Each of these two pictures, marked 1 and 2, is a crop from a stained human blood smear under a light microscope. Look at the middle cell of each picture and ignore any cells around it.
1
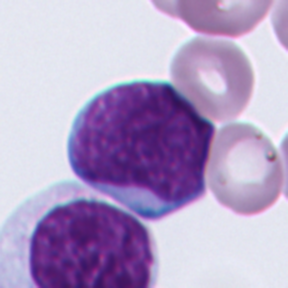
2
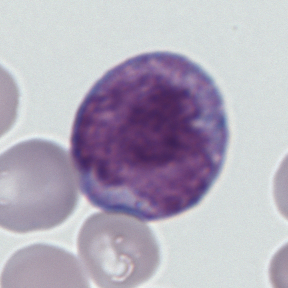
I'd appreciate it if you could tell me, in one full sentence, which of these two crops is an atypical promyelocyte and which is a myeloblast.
Found in crop 1 is a myeloblast; found in crop 2 is an atypical promyelocyte.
